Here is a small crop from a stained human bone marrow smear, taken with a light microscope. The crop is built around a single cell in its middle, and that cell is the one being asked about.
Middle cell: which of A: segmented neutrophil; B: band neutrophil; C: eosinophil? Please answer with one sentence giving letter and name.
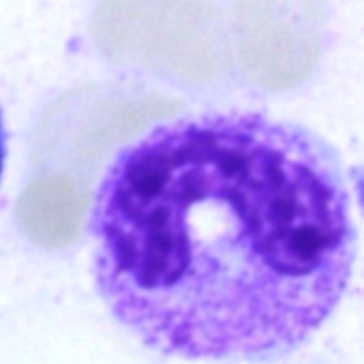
For this crop, option B is right, the centered cell being a band neutrophil.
